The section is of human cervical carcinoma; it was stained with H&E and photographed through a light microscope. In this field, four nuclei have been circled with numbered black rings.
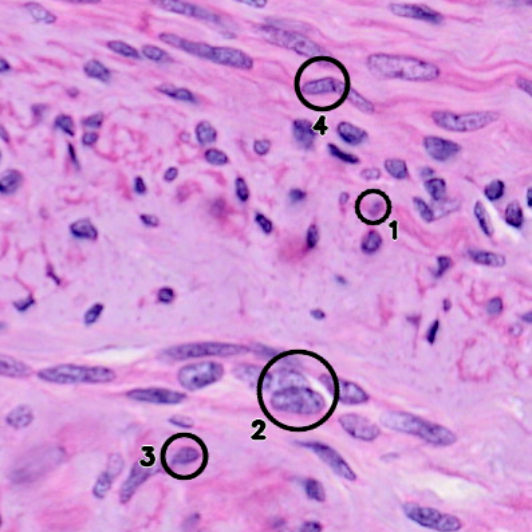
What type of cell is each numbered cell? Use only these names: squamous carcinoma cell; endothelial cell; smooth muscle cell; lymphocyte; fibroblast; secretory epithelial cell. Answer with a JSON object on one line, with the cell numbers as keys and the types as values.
{"1": "smooth muscle cell", "2": "endothelial cell", "3": "smooth muscle cell", "4": "smooth muscle cell"}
